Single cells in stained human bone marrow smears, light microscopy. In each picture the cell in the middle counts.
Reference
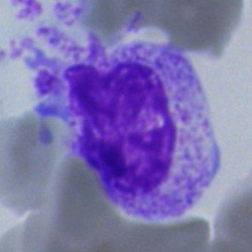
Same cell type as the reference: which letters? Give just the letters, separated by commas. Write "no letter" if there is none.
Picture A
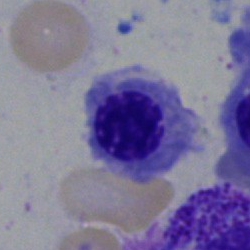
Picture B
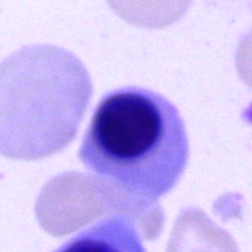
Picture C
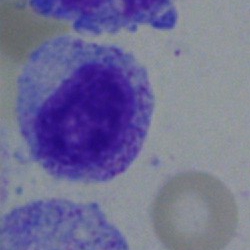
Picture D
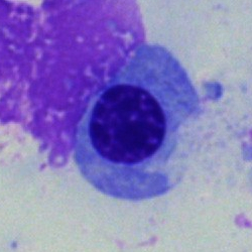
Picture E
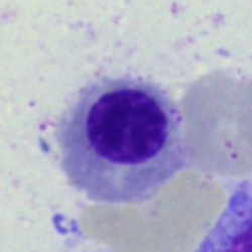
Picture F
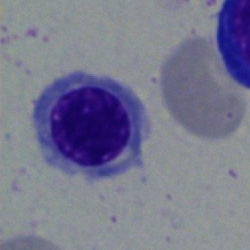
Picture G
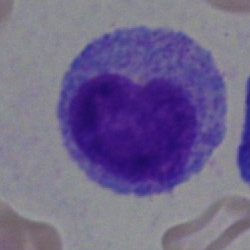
C, G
